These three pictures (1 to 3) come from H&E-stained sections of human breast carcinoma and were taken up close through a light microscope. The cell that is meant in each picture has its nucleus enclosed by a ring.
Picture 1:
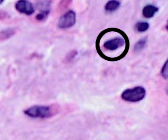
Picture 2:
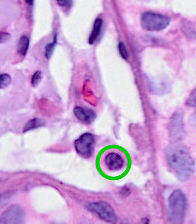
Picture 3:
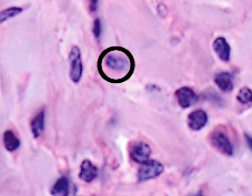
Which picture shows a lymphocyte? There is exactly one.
1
